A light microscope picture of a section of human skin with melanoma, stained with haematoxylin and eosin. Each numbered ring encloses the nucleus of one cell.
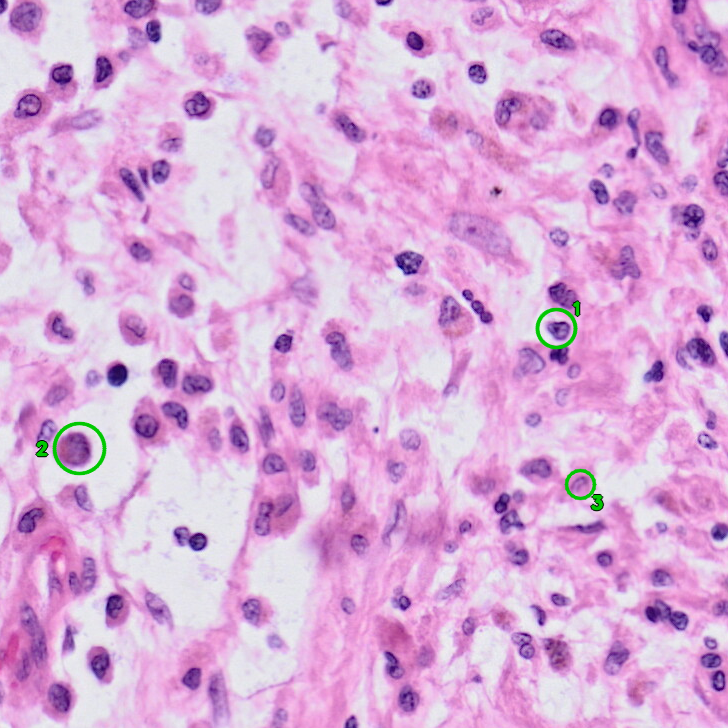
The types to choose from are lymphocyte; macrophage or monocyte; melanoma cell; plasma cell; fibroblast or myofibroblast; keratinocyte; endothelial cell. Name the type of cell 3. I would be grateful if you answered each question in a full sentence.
The cell pointed out by number 3 is a macrophage or monocyte.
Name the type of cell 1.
Here, the cell given the number 1 is a lymphocyte.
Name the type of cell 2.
Denoted by the label 2 in the section is a macrophage or monocyte.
